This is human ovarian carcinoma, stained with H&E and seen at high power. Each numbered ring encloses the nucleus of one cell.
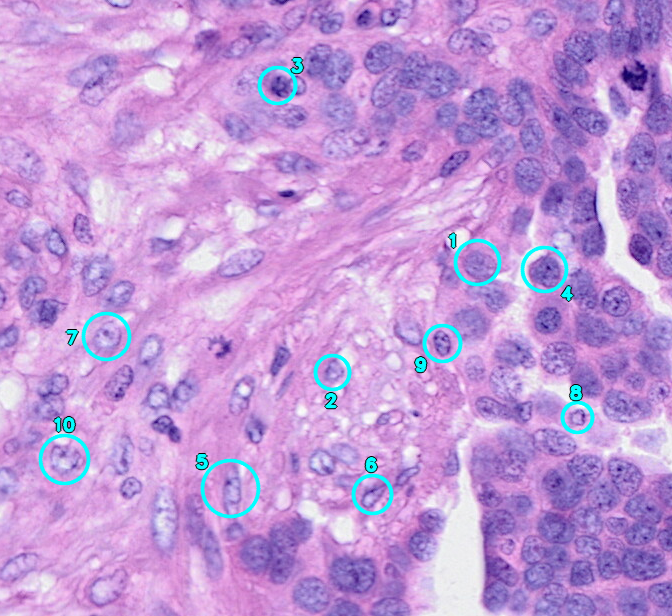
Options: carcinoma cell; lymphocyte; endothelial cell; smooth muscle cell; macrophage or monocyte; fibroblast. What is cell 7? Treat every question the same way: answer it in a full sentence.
Cell 7 of the marked set is a fibroblast.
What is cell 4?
The cell numbered 4 has been identified as a carcinoma cell.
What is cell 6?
The cell tagged with 6 in this tissue section is a fibroblast.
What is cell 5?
In the tissue shown, cell 5 is a fibroblast.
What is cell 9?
In this section, the cell tagged 9 is a macrophage or monocyte.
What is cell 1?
The cell given label 1 is a carcinoma cell.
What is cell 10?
Corresponding to a fibroblast is the cell labelled 10.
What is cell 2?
The cell to which the number 2 is assigned is a fibroblast.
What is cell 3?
In the marked set, the cell given number 3 is a lymphocyte.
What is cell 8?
Cell 8, as marked in the section, is a macrophage or monocyte.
